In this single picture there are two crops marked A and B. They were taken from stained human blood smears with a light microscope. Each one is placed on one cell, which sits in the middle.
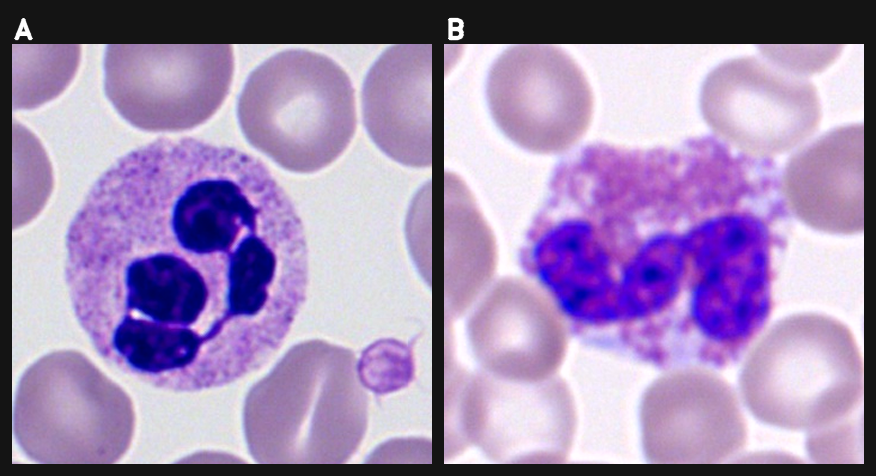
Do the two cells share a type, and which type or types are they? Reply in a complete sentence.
No, crop A carries a segmented neutrophil and crop B carries an eosinophil.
